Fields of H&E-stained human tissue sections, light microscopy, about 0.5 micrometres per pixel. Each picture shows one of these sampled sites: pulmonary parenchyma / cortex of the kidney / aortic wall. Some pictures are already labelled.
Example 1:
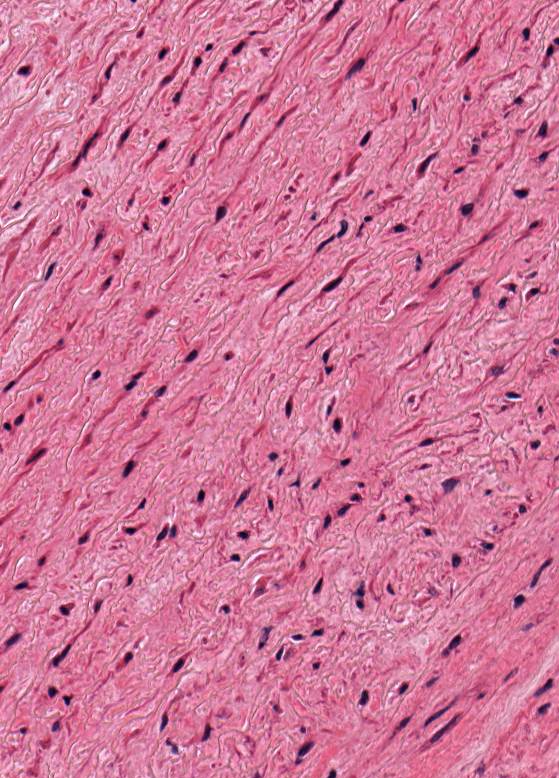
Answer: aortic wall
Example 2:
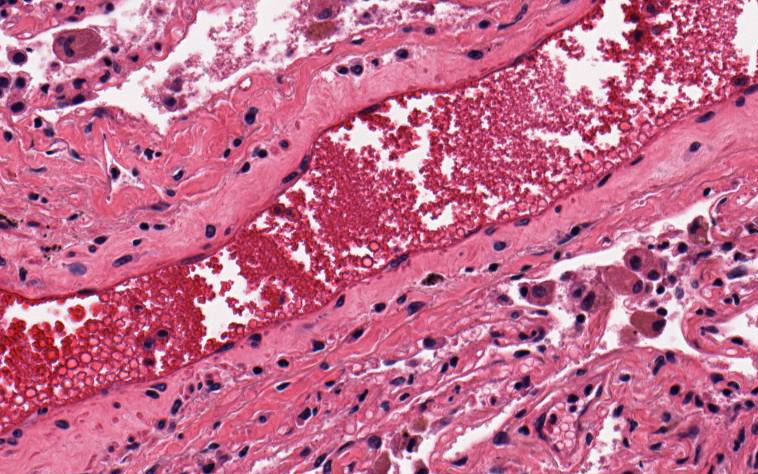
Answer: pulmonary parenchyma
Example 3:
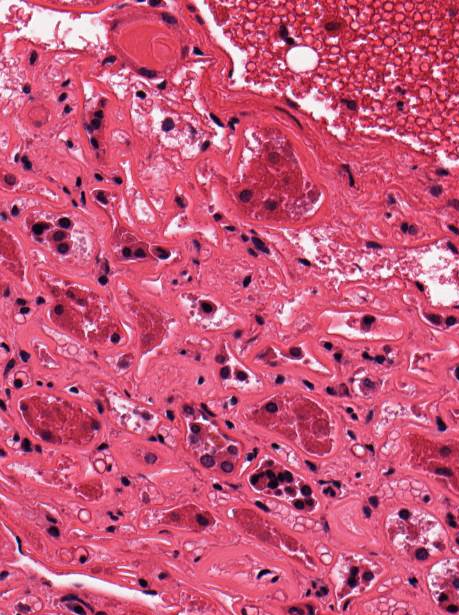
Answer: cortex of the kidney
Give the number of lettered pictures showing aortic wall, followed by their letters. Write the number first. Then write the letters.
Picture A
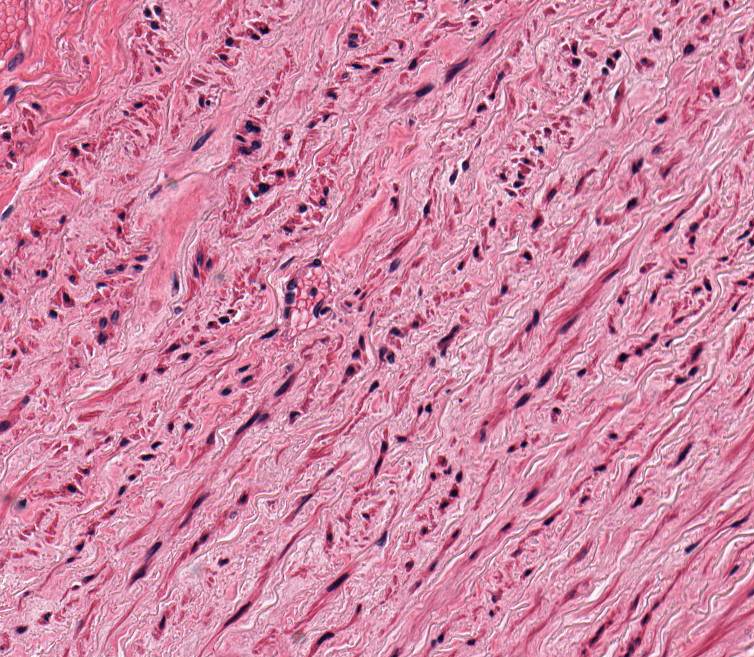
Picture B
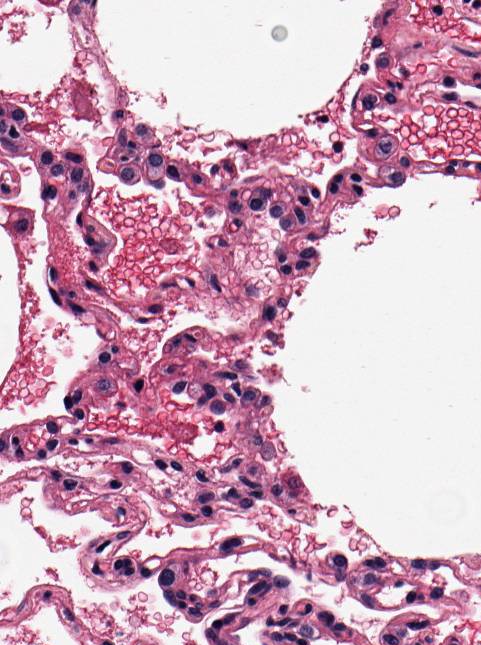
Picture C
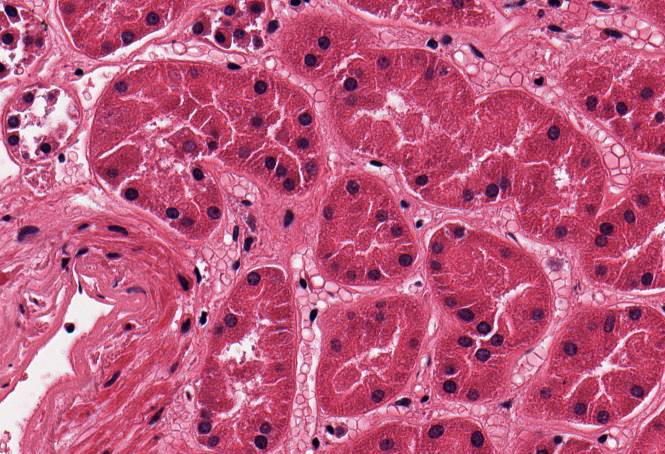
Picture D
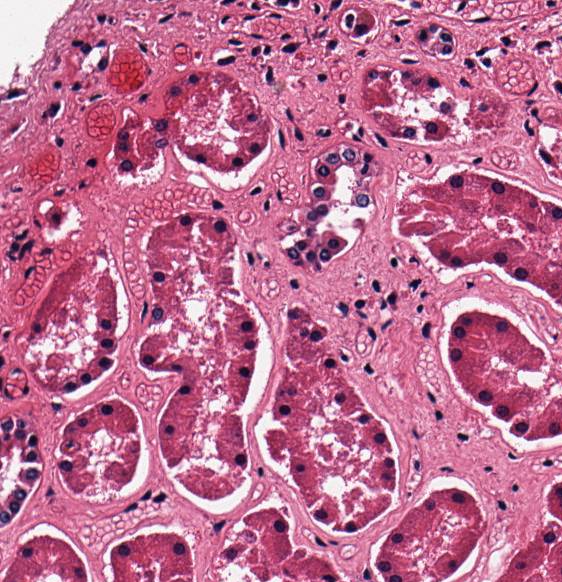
1: A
